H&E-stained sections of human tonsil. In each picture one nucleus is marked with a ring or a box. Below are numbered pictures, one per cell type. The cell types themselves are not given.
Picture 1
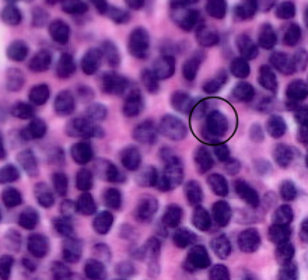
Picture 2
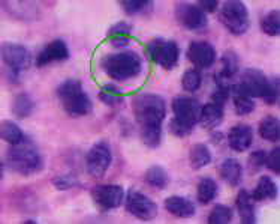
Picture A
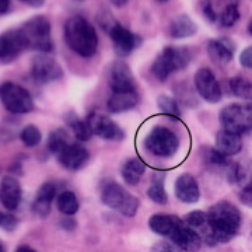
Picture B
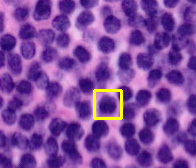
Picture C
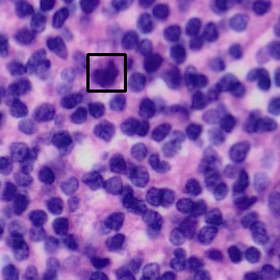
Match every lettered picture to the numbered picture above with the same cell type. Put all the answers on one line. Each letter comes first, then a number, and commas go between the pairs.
A 2, B 1, C 2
